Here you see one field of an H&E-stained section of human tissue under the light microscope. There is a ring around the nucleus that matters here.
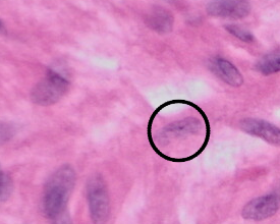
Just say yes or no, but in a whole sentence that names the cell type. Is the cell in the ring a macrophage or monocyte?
No, put down a fibroblast for the cell in the ring, not a macrophage or monocyte.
